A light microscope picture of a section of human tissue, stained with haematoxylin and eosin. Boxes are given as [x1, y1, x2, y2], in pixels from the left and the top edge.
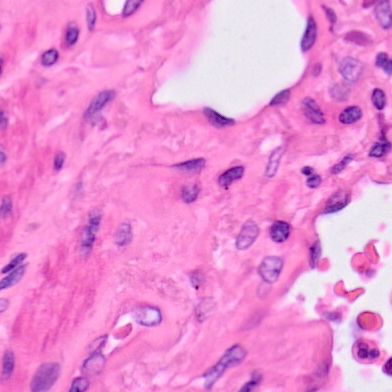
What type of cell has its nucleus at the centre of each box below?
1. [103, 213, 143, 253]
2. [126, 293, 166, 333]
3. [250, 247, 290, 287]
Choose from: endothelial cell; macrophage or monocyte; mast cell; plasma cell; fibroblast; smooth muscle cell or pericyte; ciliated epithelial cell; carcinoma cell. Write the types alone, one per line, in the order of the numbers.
fibroblast
endothelial cell
fibroblast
